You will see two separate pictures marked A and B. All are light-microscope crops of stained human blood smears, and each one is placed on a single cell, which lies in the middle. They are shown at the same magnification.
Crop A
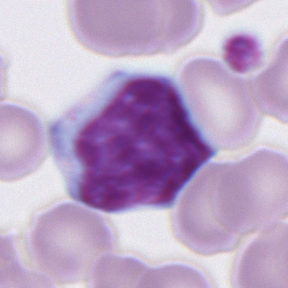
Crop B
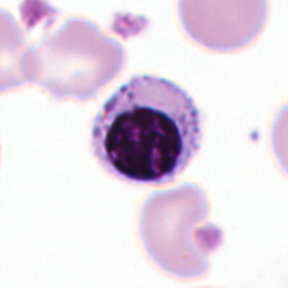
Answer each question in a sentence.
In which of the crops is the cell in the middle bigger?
Larger is the cell in crop A, at roughly 2 times the area of the other.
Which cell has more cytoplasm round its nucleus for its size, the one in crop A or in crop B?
The nucleus fills less of the cell in crop B than in crop A.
